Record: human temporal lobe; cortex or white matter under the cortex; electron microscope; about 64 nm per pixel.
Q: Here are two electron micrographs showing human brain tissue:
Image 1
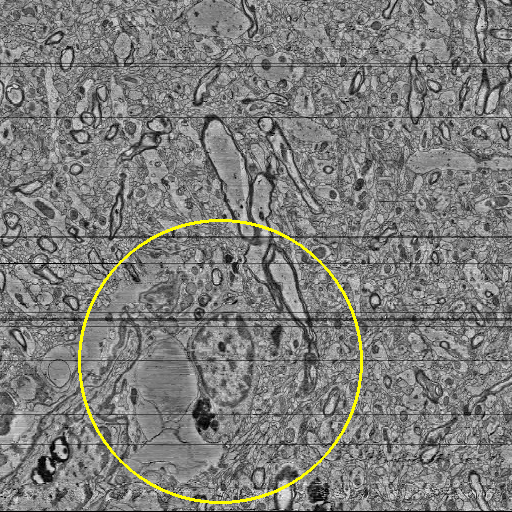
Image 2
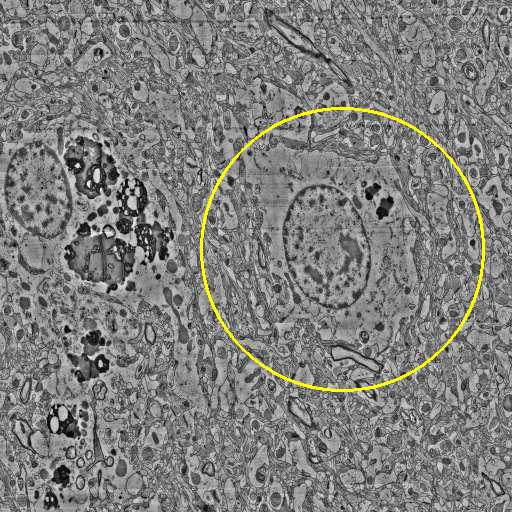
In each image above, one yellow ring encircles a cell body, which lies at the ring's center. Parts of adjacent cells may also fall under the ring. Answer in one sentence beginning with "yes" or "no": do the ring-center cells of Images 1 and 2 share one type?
No, in Images 1 and 2, the ring-center cells are of two types.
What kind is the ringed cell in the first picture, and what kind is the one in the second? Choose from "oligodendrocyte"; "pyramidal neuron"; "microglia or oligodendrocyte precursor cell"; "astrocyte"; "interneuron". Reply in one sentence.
The first cell is an oligodendrocyte; the second is an astrocyte.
